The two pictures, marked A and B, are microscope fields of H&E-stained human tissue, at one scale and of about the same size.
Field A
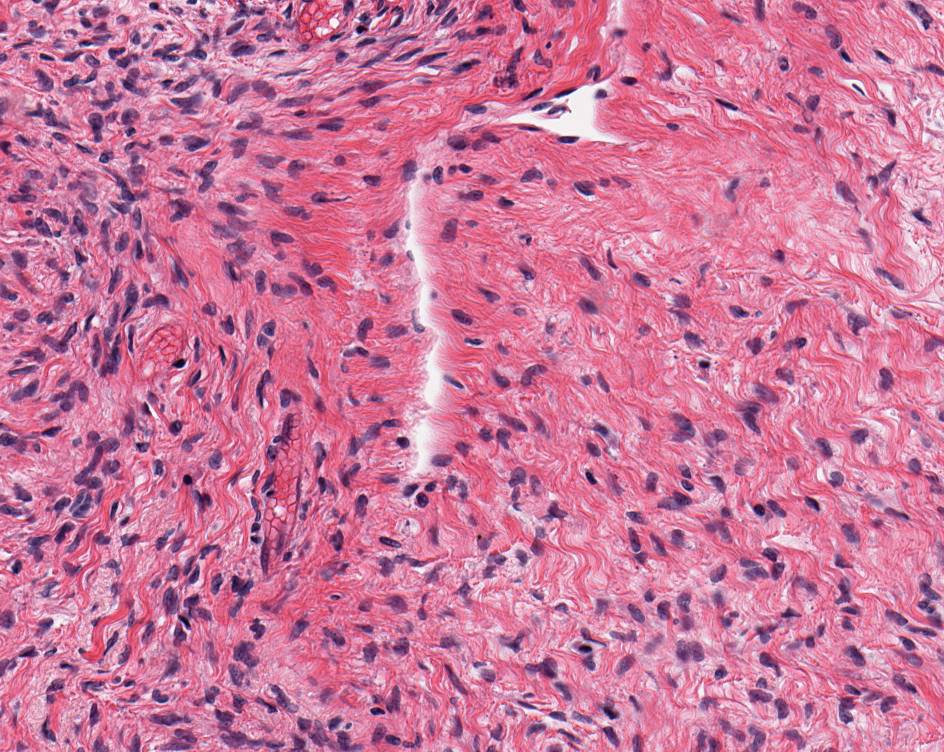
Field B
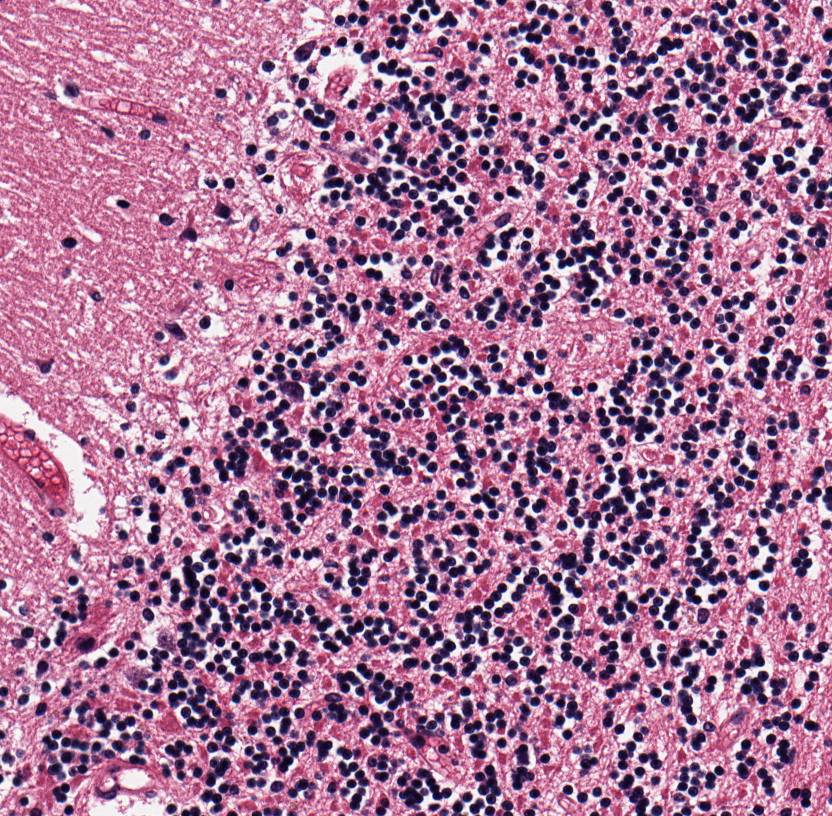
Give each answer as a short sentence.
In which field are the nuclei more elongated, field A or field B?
Longer, more slender nuclei lie in field A.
